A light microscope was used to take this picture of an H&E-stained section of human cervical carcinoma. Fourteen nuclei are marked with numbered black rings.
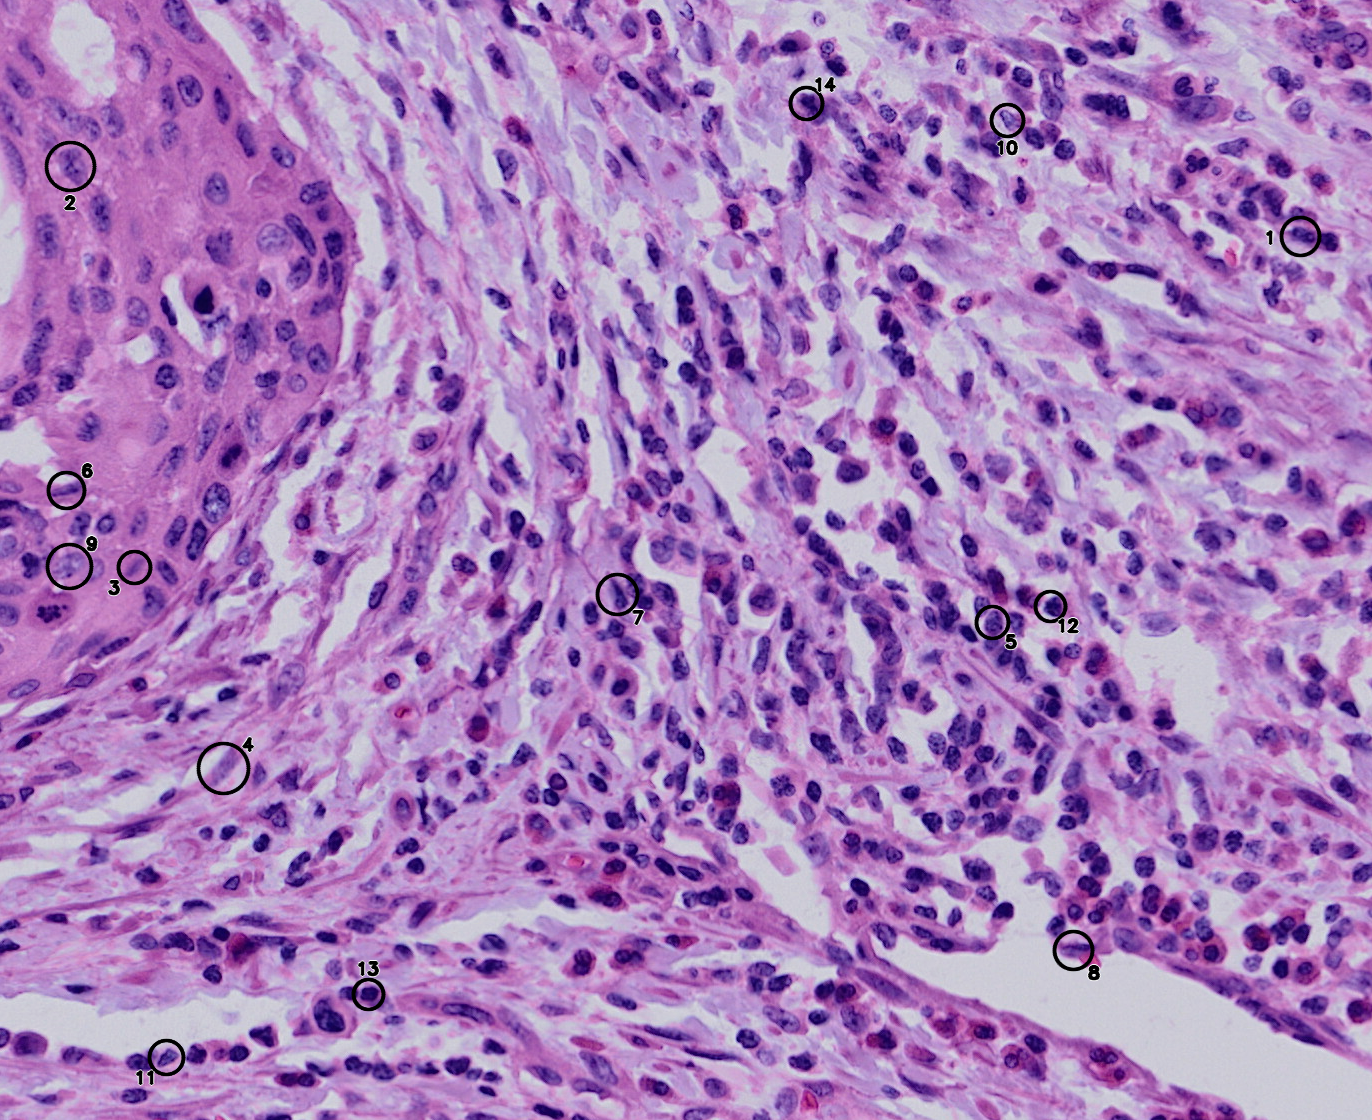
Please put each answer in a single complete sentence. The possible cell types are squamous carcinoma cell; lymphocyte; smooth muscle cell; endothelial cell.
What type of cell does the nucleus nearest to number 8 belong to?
The nearest nucleus to number 8 belongs to a lymphocyte.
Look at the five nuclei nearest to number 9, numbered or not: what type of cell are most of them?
Of the five nuclei nearest to number 9, most belong to squamous carcinoma cells.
